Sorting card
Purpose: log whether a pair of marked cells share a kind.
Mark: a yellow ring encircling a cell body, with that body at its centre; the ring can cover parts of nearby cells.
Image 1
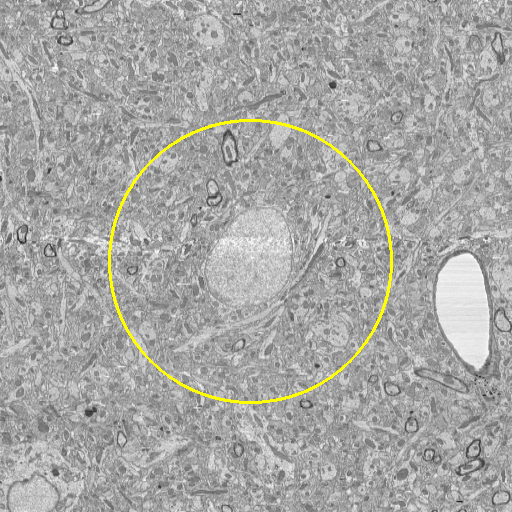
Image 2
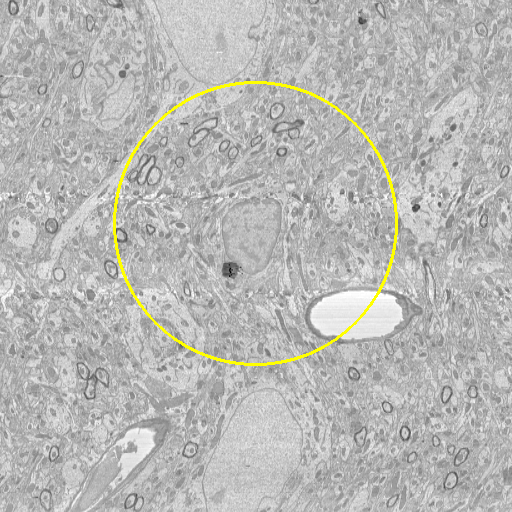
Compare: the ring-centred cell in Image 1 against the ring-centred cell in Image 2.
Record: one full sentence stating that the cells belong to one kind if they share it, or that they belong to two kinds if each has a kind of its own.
Across Images 1 and 2, the two ring-centred cells belong to two kinds.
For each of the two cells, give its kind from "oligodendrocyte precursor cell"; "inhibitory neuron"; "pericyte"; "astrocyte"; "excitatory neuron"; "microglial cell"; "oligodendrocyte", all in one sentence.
The first picture has an astrocyte in its ring, the second has a microglial cell.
